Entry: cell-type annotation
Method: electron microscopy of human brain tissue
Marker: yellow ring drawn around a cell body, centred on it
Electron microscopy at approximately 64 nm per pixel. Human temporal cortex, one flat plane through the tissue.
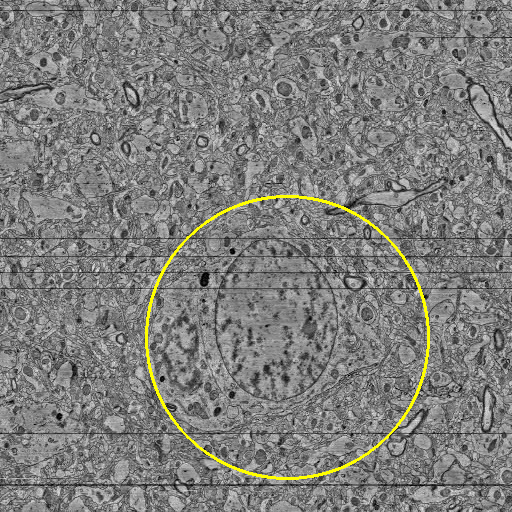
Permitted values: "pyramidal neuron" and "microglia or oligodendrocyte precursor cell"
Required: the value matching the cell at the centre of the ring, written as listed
pyramidal neuron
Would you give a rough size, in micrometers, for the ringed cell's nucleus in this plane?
In this plane the nucleus is about 11 micrometres by 8.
